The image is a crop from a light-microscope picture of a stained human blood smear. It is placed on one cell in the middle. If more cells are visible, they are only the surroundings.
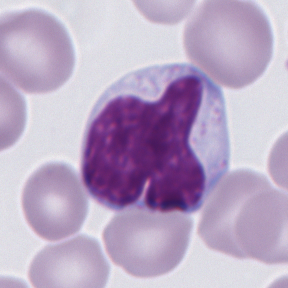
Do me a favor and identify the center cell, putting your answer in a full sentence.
In this smear crop, the middle cell is a large granular lymphocyte.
